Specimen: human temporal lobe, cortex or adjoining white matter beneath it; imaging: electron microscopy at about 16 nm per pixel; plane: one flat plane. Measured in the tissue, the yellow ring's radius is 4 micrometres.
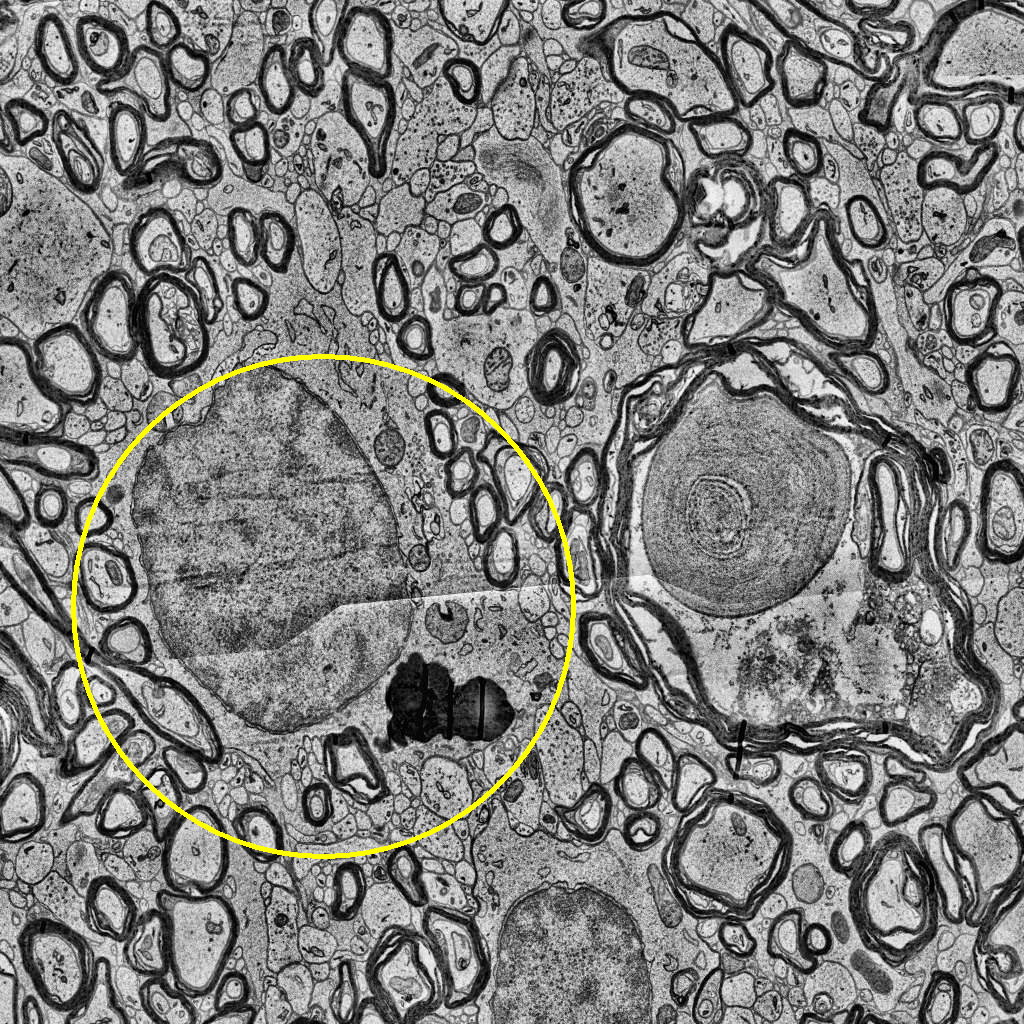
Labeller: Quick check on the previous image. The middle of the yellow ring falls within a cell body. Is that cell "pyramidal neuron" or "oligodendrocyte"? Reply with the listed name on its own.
oligodendrocyte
